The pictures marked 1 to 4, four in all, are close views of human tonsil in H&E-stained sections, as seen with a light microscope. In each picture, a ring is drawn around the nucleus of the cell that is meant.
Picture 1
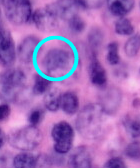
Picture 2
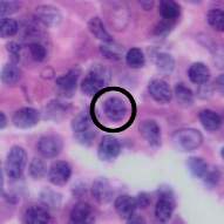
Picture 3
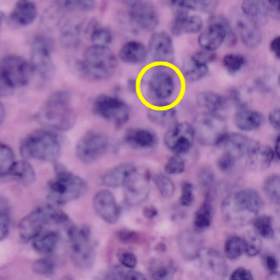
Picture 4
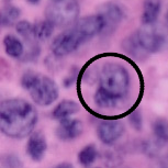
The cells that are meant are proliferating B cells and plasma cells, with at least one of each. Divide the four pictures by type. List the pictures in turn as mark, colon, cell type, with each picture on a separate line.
1: proliferating B cell
2: plasma cell
3: proliferating B cell
4: proliferating B cell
